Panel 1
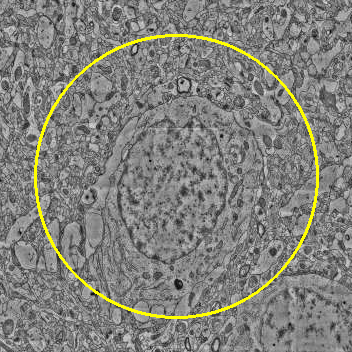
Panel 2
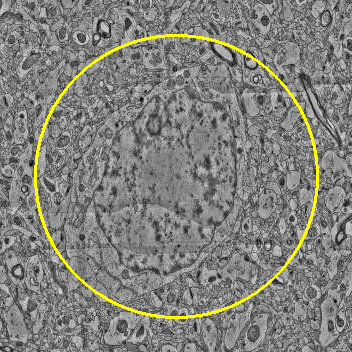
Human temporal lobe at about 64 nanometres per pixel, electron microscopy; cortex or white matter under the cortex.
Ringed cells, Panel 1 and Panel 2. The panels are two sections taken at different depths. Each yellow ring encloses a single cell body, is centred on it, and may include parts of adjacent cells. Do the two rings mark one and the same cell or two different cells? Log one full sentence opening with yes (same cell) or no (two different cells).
No, these are two different cells, each marked with a ring.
